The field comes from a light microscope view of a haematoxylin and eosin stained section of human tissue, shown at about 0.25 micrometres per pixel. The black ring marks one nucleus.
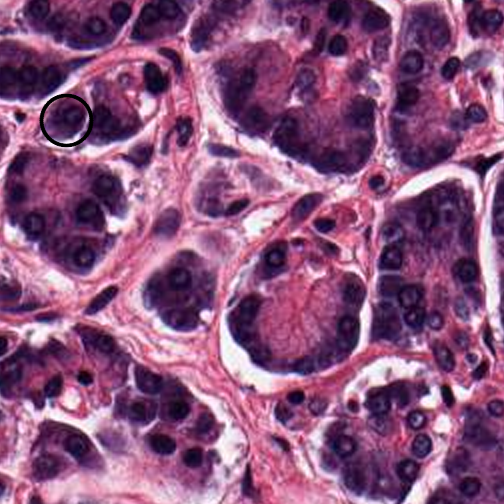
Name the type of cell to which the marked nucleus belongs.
pancreatic acinar cell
